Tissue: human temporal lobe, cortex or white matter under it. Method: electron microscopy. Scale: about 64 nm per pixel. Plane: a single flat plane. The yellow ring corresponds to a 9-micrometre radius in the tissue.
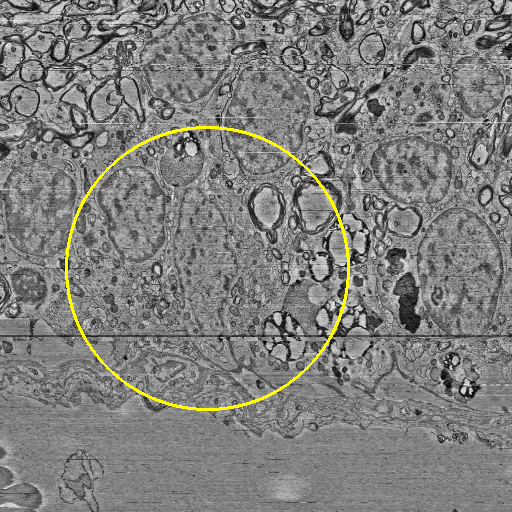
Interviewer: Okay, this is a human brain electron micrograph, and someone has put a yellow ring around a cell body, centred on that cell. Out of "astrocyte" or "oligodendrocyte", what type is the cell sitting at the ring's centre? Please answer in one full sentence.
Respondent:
The cell at the centre of the yellow ring in this picture is an astrocyte.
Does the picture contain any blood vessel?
Yes, the picture includes a blood vessel.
